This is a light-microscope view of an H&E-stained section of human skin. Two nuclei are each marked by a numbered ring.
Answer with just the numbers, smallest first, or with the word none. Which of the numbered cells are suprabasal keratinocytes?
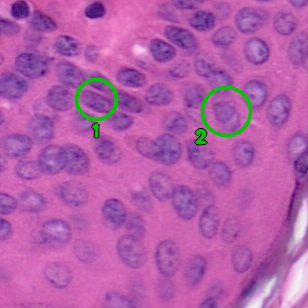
2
